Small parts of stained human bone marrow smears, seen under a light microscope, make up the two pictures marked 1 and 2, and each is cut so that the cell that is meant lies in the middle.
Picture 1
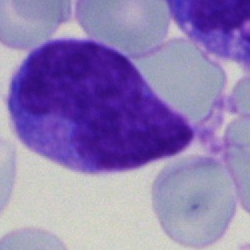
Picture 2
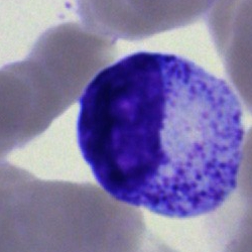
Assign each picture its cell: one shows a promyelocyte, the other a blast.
1: blast
2: promyelocyte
